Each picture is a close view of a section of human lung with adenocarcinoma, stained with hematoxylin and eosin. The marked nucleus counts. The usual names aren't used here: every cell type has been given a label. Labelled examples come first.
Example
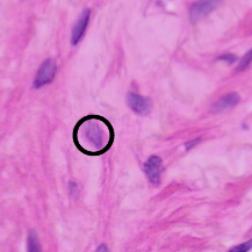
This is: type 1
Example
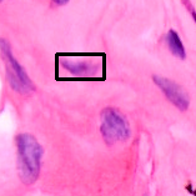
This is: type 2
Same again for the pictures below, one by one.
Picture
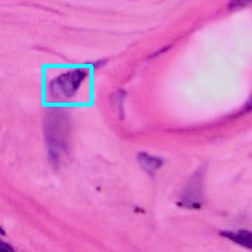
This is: type 2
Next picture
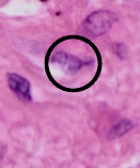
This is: type 2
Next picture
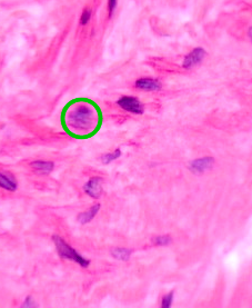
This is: type 1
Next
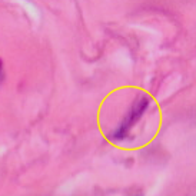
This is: type 2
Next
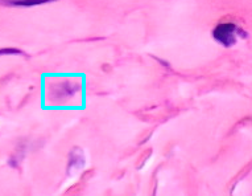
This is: type 2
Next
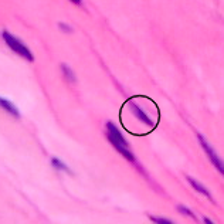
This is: type 2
